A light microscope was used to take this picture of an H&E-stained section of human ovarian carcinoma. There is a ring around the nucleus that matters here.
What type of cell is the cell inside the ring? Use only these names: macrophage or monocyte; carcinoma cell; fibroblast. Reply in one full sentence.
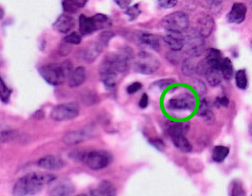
Cell type answer for this item: the cell inside the ring is a carcinoma cell.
